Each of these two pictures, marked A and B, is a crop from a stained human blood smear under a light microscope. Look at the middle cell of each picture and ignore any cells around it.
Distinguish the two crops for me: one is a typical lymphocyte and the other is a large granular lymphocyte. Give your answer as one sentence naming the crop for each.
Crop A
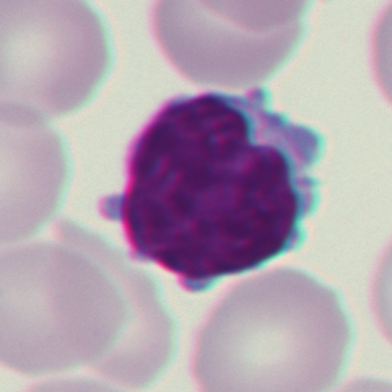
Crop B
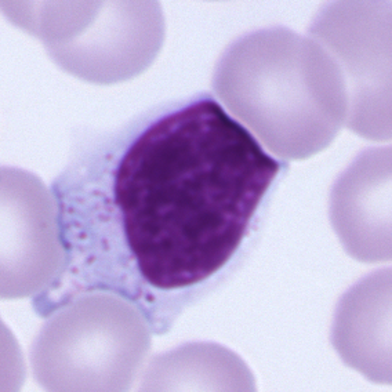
Crop A is a typical lymphocyte, whilst crop B is a large granular lymphocyte.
